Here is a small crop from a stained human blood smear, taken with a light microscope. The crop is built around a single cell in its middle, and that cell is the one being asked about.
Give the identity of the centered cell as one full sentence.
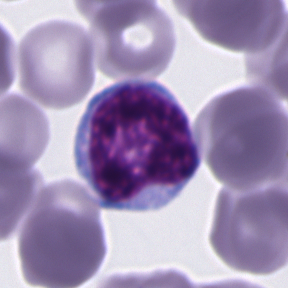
What the crop centres on is a typical lymphocyte.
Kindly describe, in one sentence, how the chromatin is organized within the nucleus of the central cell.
Here the nuclear chromatin is coarsely clumped.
